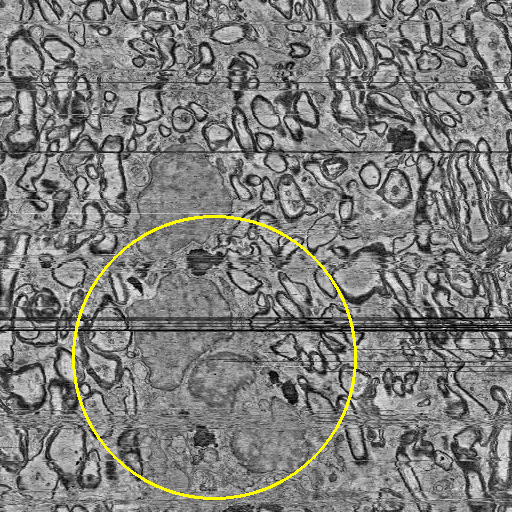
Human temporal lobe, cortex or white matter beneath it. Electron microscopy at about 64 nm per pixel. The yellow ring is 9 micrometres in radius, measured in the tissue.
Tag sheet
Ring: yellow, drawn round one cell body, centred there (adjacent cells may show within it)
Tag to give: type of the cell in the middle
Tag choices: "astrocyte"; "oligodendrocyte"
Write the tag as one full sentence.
I tag the cell centred in the yellow ring as an oligodendrocyte in this picture.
